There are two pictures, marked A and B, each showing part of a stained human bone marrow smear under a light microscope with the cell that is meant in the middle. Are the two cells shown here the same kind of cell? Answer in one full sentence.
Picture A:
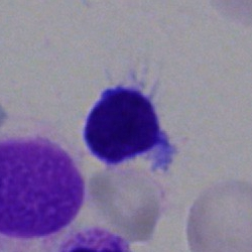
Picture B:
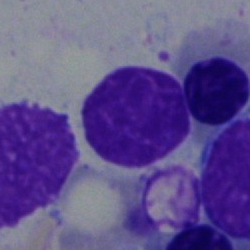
Yes, they are the same type: both are lymphocytes.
